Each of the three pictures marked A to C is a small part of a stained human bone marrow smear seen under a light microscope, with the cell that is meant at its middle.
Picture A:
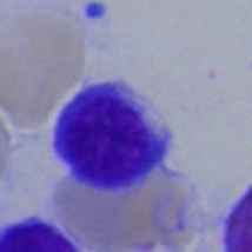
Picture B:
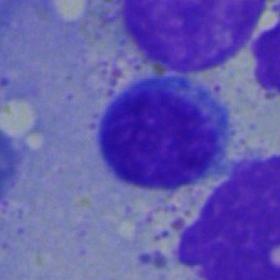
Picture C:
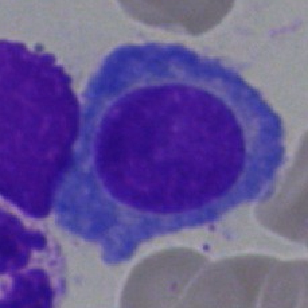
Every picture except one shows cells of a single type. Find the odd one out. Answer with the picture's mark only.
C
